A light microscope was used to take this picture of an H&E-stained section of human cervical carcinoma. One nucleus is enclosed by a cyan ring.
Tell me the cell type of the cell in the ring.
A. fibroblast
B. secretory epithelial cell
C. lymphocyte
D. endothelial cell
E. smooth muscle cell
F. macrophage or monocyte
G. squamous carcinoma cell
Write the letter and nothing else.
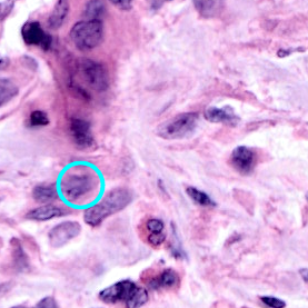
D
